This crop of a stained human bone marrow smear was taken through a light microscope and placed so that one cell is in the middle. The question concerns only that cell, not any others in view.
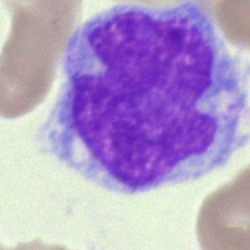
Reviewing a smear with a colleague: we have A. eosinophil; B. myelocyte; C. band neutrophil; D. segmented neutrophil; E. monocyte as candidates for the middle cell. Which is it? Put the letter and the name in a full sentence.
The cell in the middle is correctly identified as a monocyte in option E.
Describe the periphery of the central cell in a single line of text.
The contour of the cell is interrupted by ragged areas or by projections.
